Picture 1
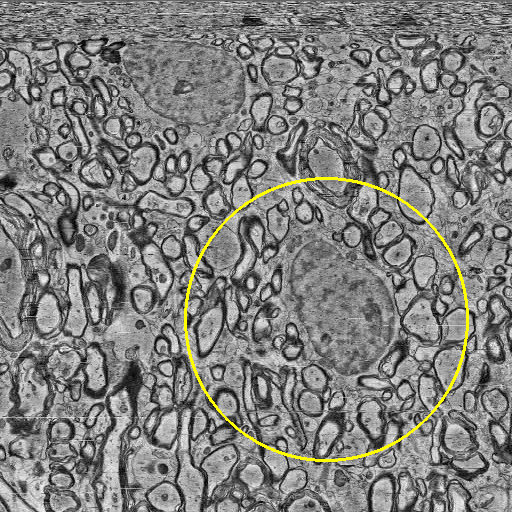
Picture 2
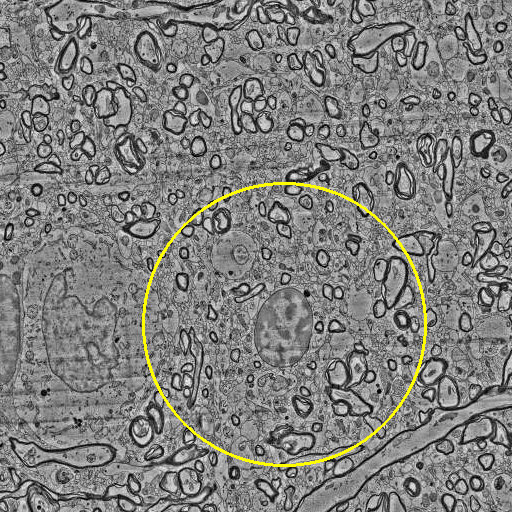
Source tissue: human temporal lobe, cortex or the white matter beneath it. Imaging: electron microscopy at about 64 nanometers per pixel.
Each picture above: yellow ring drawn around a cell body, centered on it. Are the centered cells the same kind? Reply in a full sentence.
No, the two cells are two kinds of cell.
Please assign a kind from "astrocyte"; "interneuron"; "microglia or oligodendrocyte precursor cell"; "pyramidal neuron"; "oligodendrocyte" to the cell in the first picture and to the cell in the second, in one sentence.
In the first picture we have an oligodendrocyte, and in the second, a microglial cell or oligodendrocyte precursor cell.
